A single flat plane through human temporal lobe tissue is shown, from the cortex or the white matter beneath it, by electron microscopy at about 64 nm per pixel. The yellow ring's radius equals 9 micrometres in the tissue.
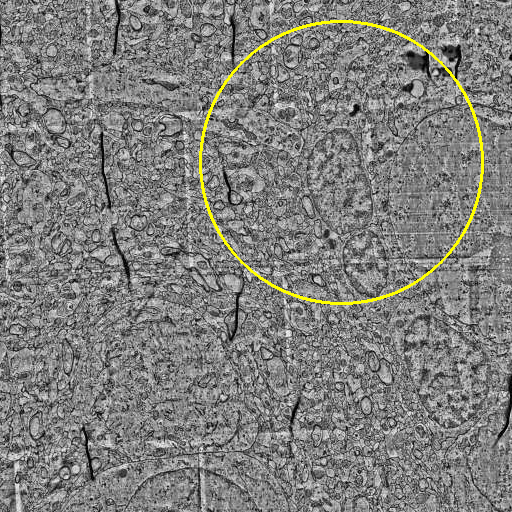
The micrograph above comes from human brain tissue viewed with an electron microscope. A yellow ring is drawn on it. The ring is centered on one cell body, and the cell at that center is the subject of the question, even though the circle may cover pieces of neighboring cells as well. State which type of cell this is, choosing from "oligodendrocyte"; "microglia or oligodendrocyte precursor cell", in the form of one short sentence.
The cell the ring is centered on is an oligodendrocyte.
